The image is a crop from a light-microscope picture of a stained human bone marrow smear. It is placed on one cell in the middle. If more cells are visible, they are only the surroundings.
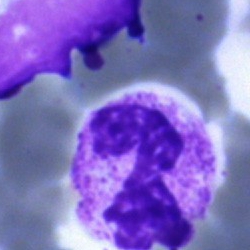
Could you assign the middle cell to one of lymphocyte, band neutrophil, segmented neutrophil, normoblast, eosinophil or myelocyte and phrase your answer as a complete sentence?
The central cell shown in this smear crop is a segmented neutrophil.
